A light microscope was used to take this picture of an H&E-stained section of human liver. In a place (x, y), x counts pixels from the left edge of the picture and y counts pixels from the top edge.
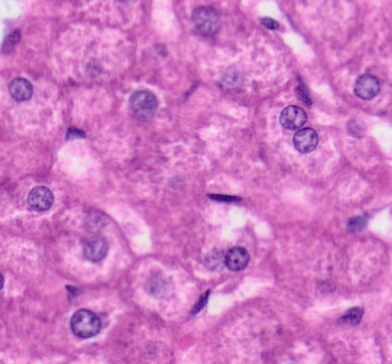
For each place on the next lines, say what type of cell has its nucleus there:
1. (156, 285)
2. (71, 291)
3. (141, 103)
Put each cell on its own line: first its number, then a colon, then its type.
1: hepatocyte
2: endothelial cell
3: hepatocyte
